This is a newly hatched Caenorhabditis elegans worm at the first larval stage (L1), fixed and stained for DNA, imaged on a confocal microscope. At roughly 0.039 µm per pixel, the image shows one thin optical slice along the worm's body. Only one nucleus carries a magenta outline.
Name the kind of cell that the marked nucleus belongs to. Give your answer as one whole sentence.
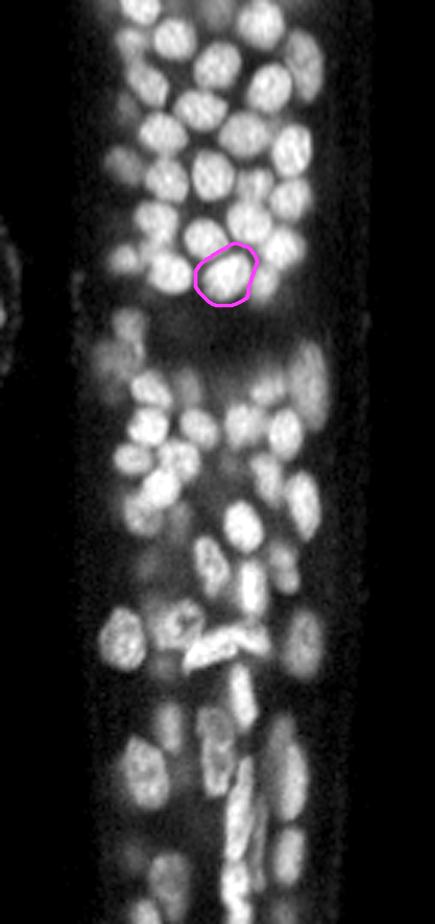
The nucleus comes from a GLR cell.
